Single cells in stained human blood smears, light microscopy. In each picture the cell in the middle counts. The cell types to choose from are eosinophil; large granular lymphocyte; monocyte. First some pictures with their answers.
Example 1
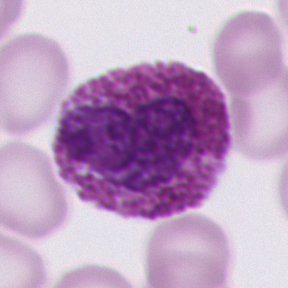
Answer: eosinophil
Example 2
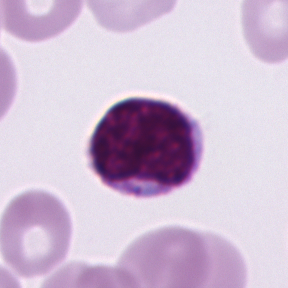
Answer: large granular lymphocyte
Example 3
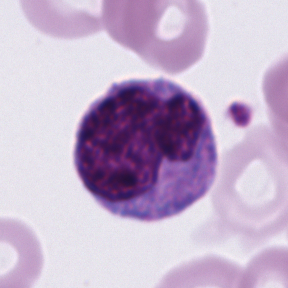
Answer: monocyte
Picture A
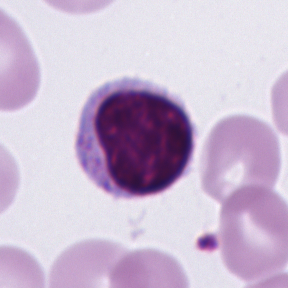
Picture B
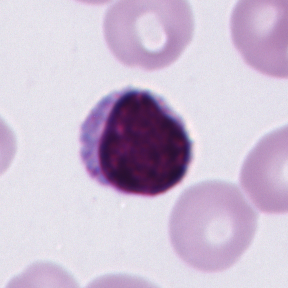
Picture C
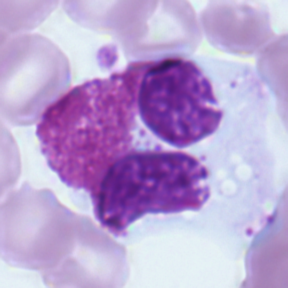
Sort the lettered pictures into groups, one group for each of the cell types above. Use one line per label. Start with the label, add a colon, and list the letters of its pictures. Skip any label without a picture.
eosinophil: C
large granular lymphocyte: A, B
